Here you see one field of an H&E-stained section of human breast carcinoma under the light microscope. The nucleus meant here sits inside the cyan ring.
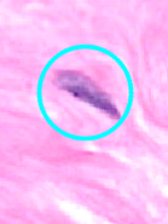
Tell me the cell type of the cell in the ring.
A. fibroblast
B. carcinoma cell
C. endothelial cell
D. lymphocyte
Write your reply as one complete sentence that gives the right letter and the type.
Option A is correct here; the cell in the ring is a fibroblast.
